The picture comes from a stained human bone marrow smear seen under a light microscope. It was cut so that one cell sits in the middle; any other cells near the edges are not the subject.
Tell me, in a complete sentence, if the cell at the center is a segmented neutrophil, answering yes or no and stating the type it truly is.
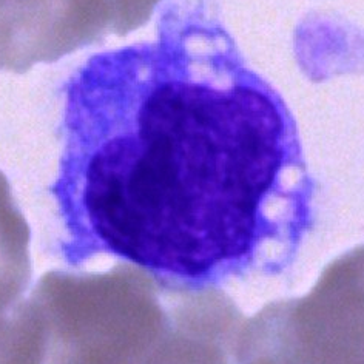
No, the centre of the crop is taken up by a monocyte, not a segmented neutrophil.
